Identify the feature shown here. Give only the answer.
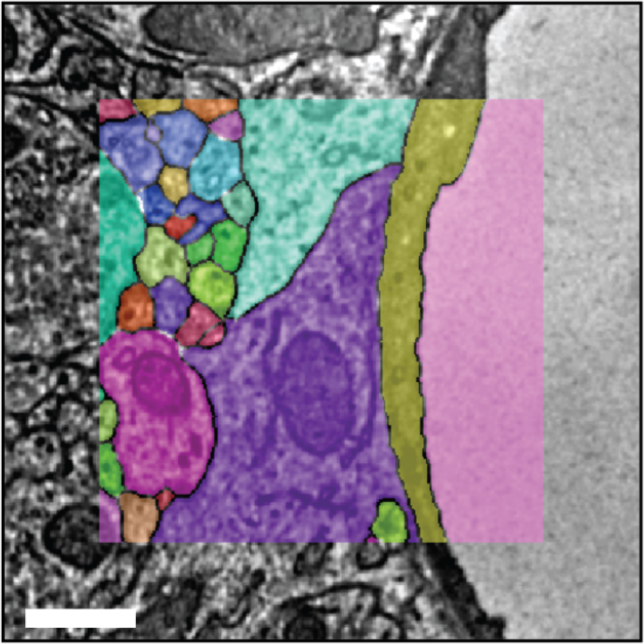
A blood vessel.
